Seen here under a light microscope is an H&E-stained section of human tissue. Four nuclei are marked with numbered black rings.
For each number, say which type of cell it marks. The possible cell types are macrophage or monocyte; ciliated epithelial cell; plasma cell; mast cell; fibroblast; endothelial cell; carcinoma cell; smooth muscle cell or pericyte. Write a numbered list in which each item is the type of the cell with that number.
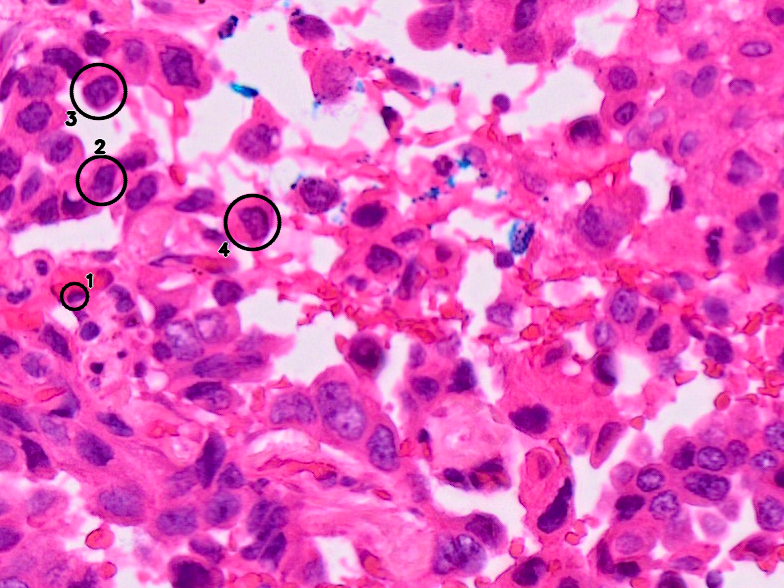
1. endothelial cell
2. carcinoma cell
3. carcinoma cell
4. carcinoma cell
